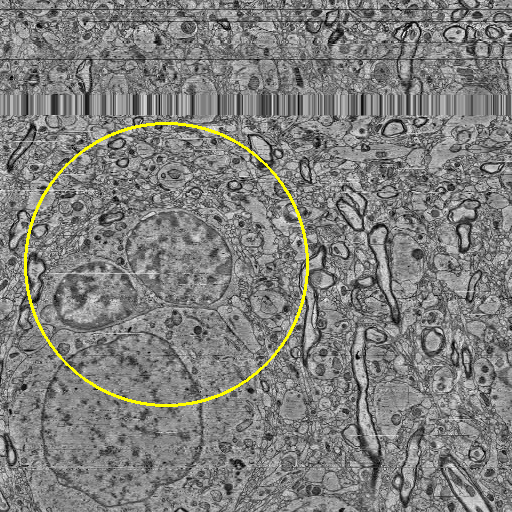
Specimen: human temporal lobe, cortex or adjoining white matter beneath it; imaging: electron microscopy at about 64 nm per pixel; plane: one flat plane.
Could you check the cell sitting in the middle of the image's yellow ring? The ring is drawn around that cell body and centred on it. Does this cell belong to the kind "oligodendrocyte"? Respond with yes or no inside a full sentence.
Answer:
Yes, this cell in the middle of the yellow ring is one of that kind.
